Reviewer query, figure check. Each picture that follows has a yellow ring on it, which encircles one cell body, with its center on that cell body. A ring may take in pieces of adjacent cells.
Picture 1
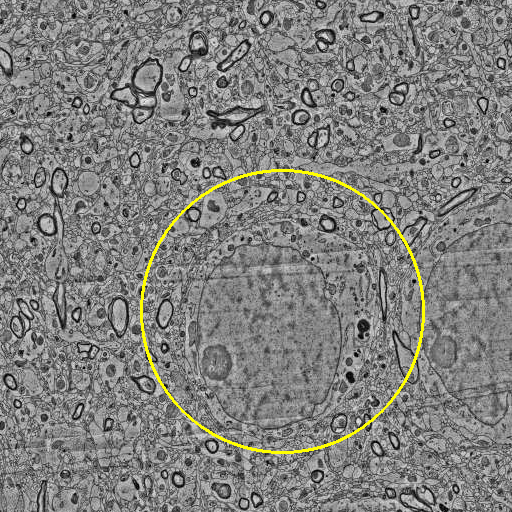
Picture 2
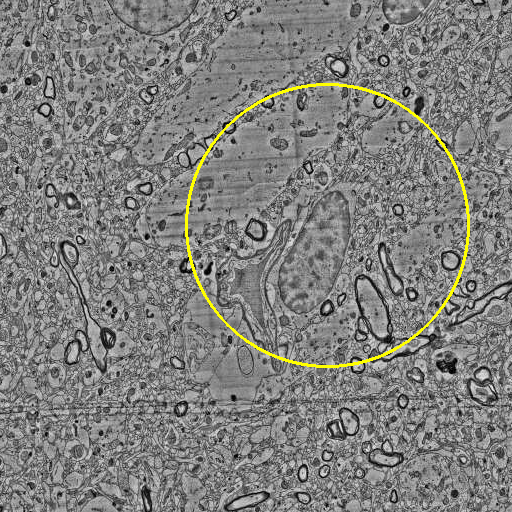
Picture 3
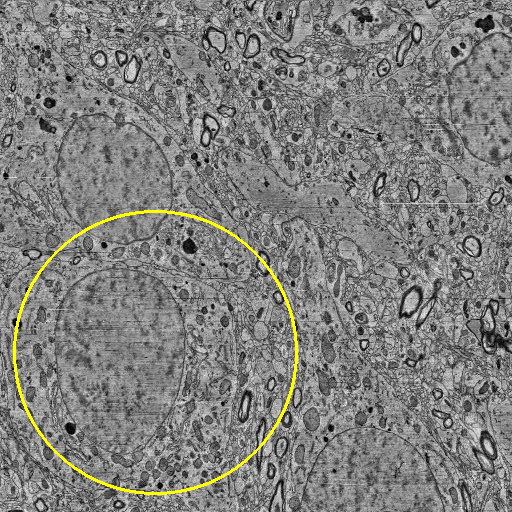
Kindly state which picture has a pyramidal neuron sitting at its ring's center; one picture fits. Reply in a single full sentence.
In picture 1, the cell at the center of the ring is the requested one.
